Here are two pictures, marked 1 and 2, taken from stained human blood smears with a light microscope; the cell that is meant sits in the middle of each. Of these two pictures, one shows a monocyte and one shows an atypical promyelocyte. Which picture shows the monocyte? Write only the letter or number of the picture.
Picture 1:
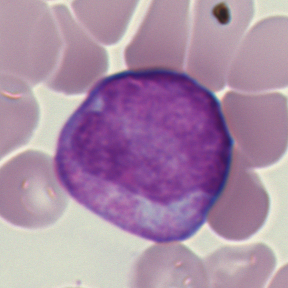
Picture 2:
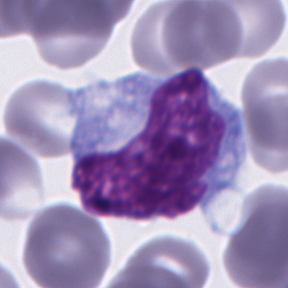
2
